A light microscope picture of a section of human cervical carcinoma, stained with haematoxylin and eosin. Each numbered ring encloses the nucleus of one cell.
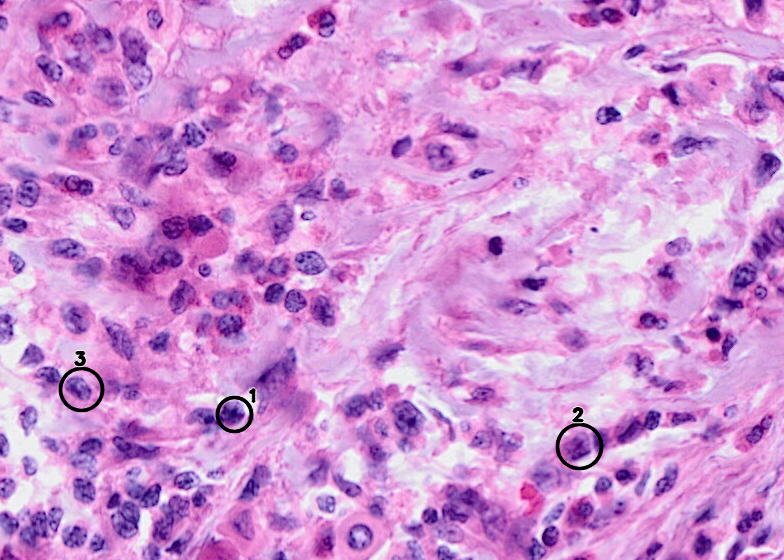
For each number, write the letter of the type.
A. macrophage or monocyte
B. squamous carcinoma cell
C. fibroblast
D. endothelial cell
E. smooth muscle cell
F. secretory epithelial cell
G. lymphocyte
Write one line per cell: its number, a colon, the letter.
1: G
2: A
3: G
